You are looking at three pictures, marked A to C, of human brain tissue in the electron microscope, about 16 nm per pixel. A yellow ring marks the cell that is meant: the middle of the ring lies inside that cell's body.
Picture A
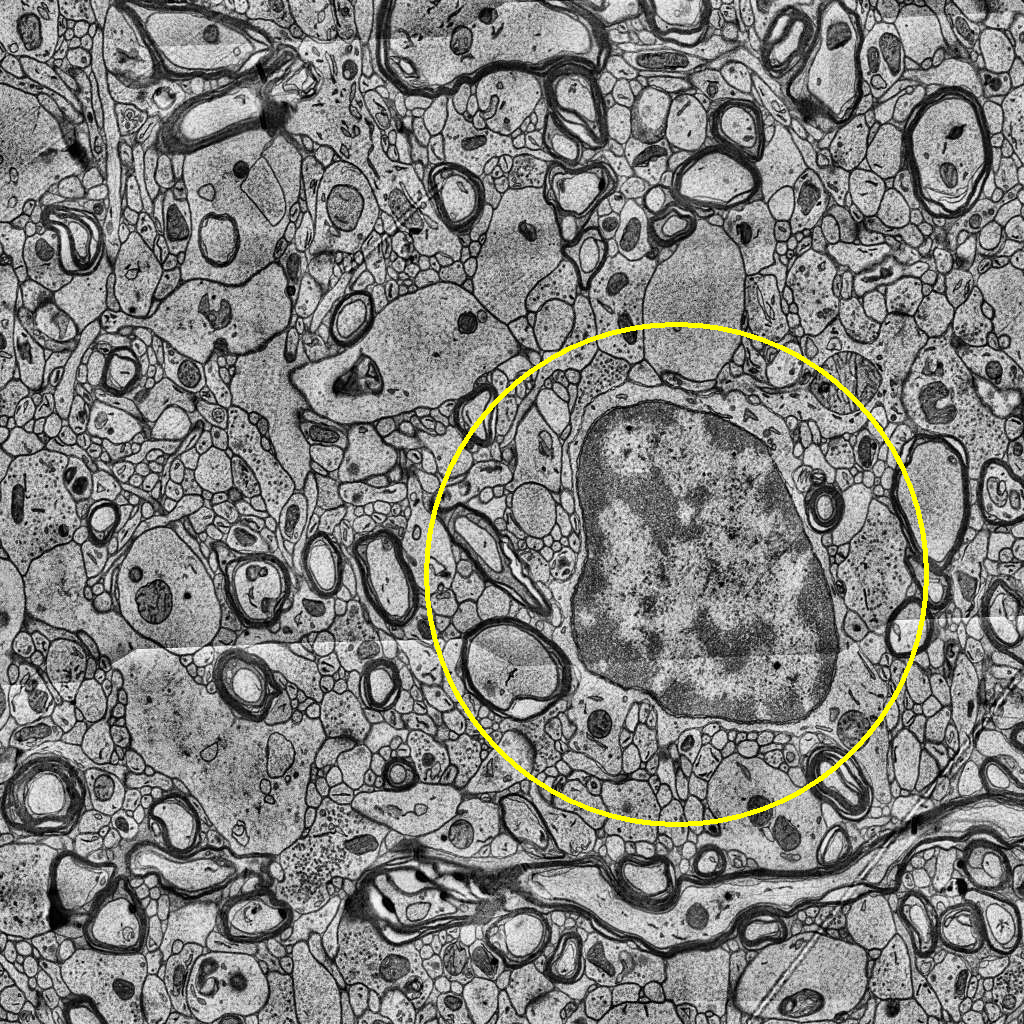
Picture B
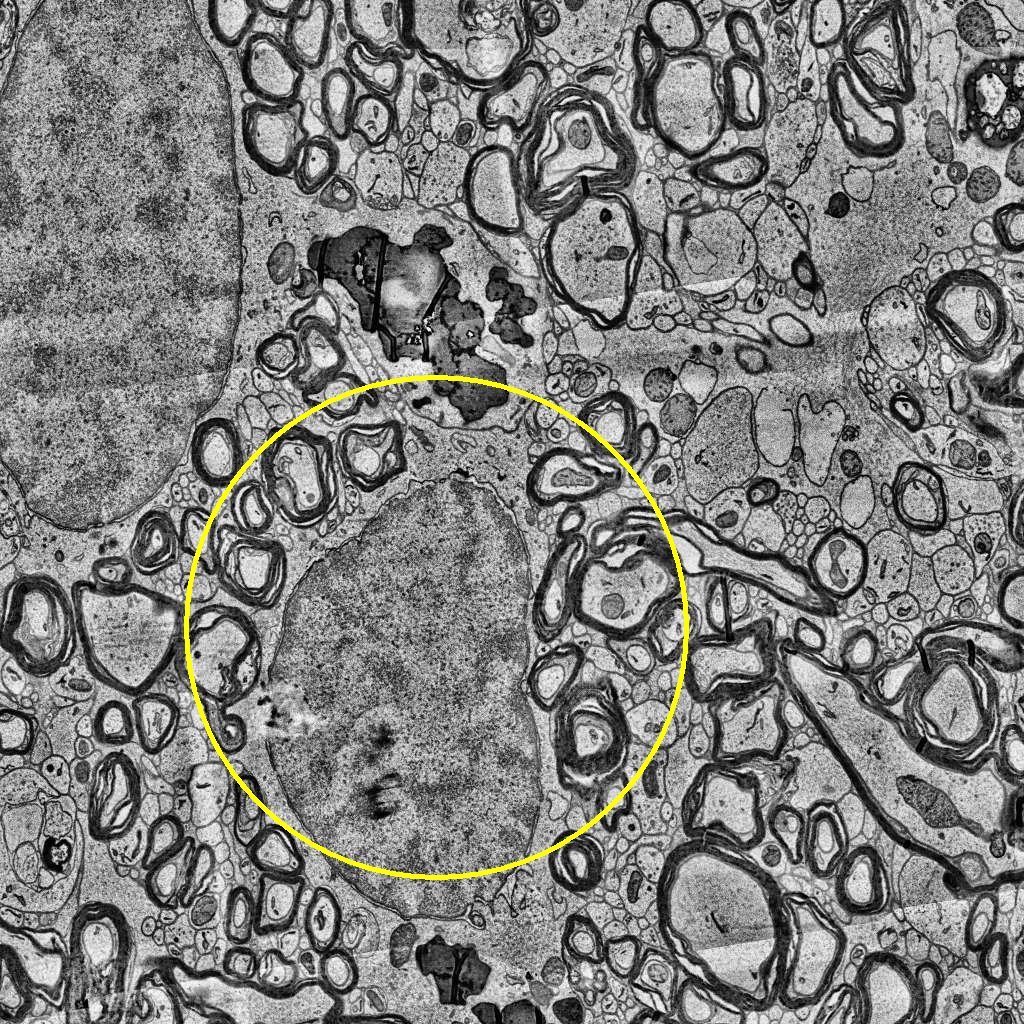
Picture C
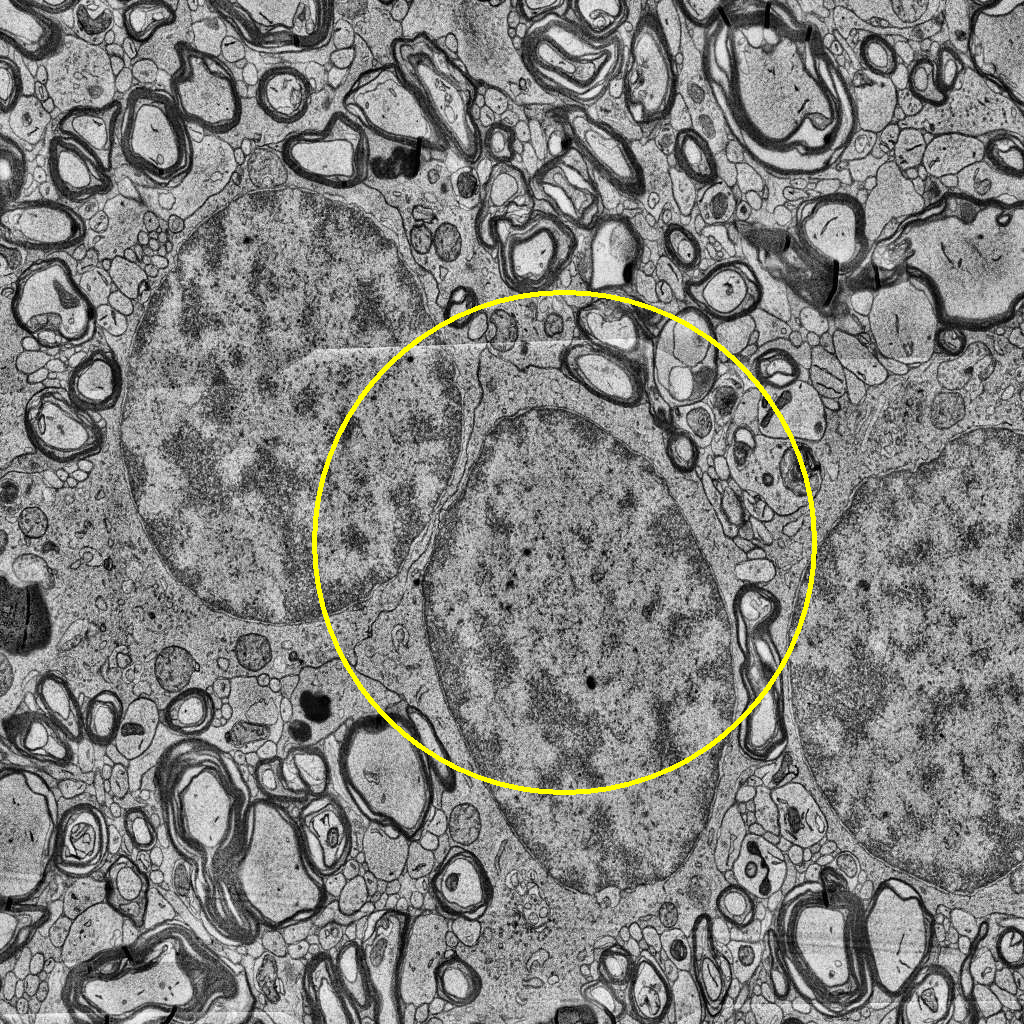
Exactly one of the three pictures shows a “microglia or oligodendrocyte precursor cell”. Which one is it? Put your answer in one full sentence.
It is picture A that shows the “microglia or oligodendrocyte precursor cell”.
